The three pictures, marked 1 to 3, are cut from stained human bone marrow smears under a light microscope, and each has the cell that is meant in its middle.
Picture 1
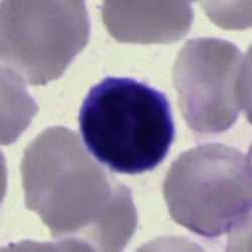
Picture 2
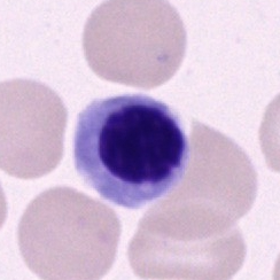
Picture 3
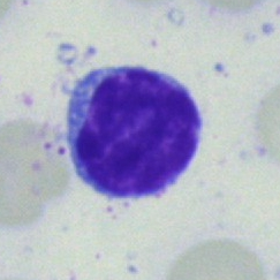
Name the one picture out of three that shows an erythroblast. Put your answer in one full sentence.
The picture with the erythroblast is 2.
